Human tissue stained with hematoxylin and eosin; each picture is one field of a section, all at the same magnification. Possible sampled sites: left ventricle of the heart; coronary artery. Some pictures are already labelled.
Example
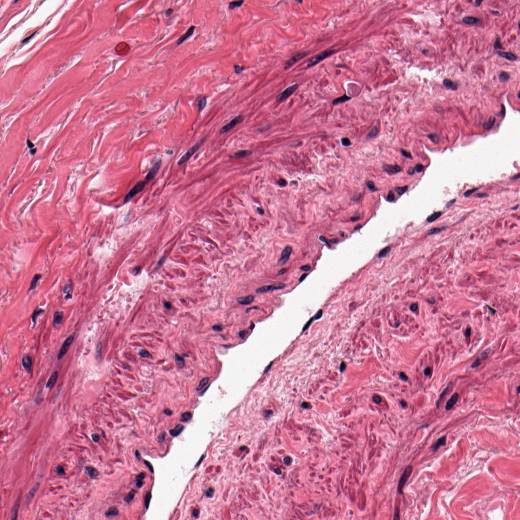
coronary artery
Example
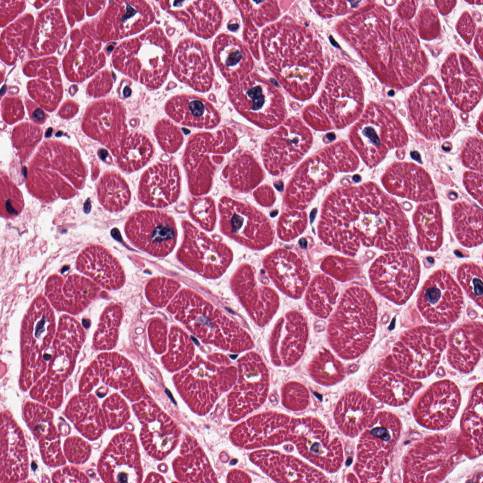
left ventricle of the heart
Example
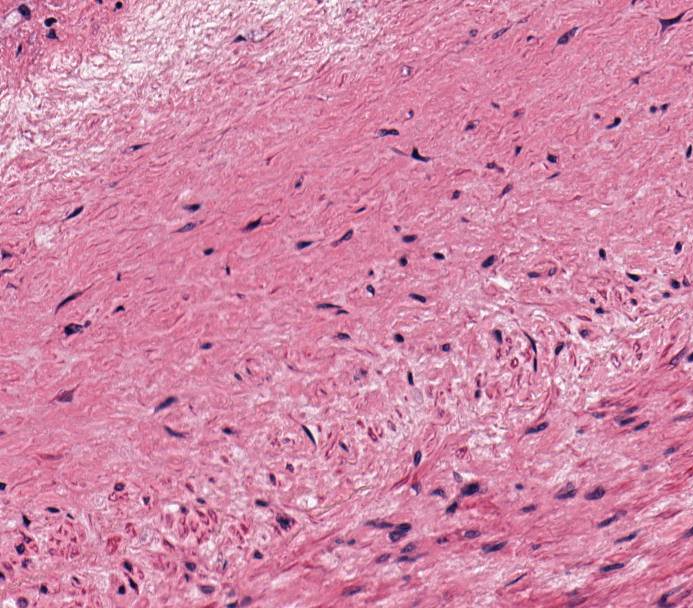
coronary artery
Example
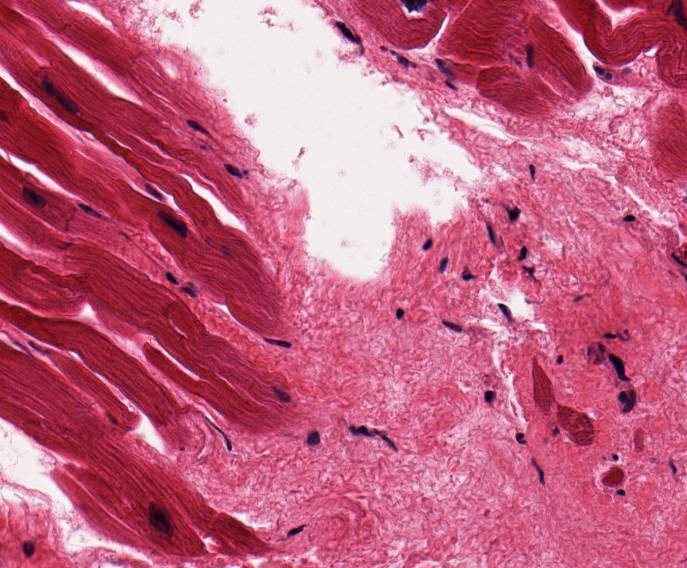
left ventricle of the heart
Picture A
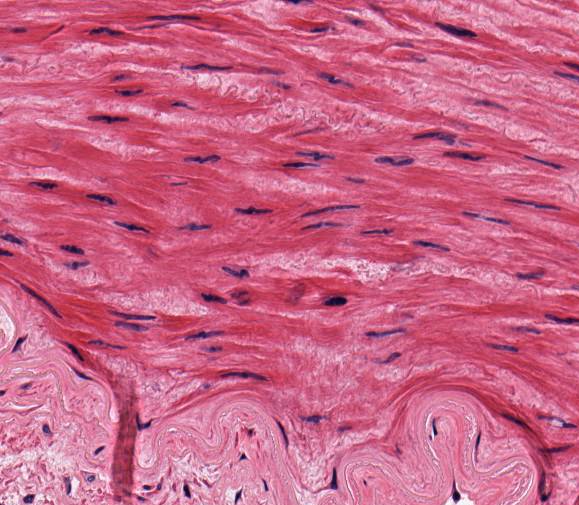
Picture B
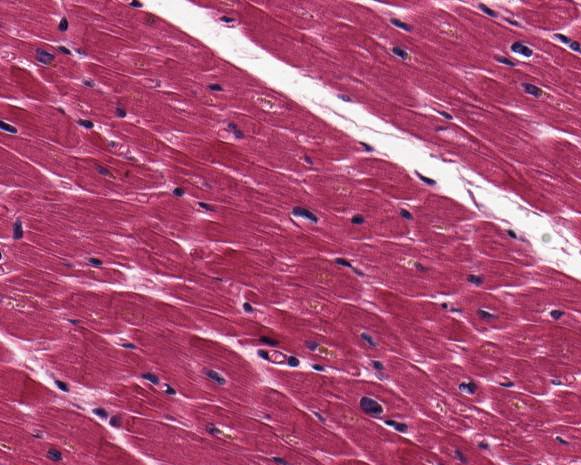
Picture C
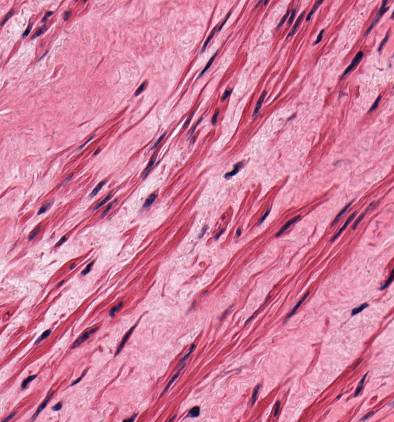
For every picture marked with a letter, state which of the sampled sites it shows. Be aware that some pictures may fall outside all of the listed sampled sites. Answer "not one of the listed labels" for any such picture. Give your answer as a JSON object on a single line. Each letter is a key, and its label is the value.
{"A": "not one of the listed labels", "B": "left ventricle of the heart", "C": "not one of the listed labels"}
